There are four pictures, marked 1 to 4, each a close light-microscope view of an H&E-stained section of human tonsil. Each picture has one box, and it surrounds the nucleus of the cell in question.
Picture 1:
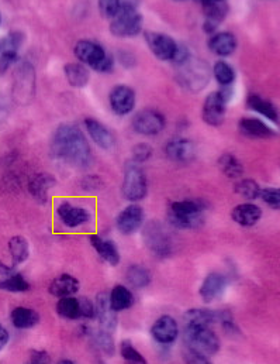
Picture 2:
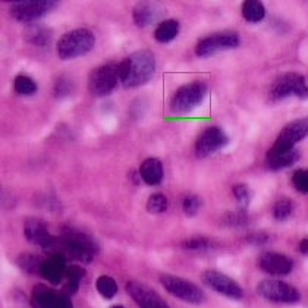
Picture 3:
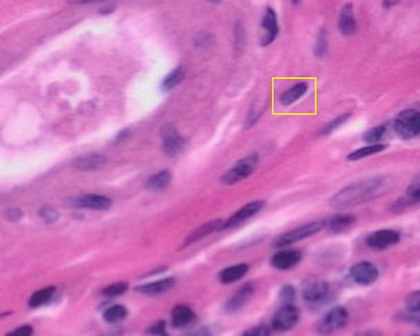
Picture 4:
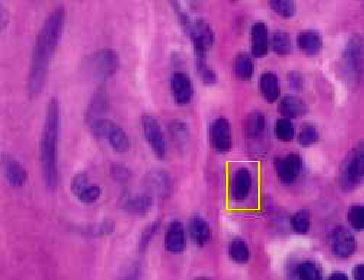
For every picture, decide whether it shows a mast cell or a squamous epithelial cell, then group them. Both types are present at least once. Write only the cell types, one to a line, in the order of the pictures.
mast cell
squamous epithelial cell
mast cell
mast cell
